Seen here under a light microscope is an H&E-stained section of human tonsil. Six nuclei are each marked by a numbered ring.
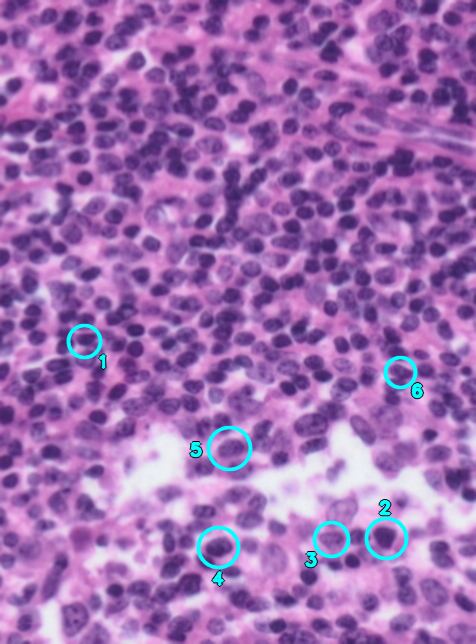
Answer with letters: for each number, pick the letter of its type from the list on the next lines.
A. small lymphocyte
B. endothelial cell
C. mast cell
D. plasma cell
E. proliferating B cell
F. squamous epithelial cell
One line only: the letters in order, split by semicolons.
A; E; E; E; E; A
